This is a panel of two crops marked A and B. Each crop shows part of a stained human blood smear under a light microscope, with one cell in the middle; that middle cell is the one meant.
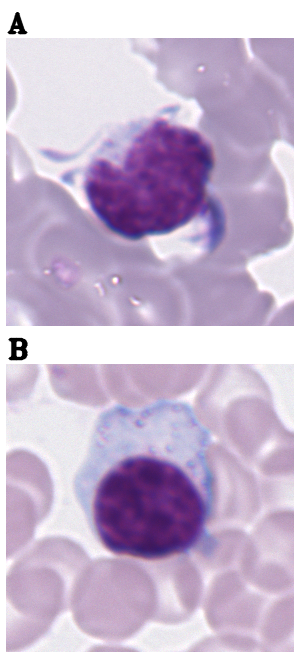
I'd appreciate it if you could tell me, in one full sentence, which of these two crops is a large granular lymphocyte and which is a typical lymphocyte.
In short, crop A is a typical lymphocyte and crop B is a large granular lymphocyte.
